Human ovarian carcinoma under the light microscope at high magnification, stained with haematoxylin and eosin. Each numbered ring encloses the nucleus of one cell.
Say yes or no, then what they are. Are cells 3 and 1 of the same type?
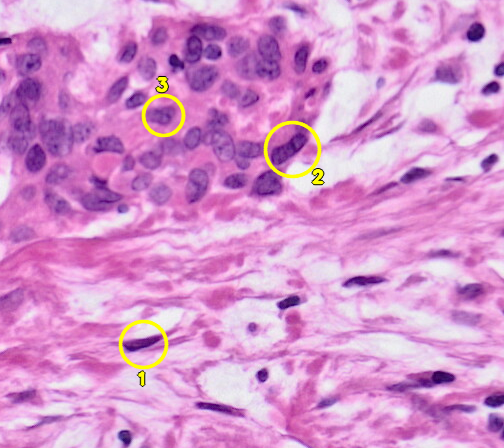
No, unlike cell 3, which is a carcinoma cell, cell 1 is a fibroblast.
